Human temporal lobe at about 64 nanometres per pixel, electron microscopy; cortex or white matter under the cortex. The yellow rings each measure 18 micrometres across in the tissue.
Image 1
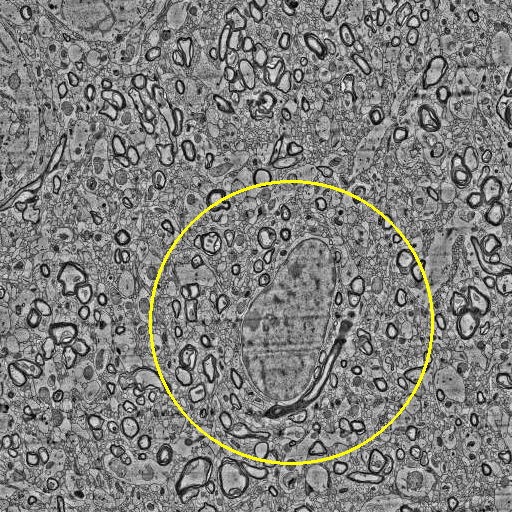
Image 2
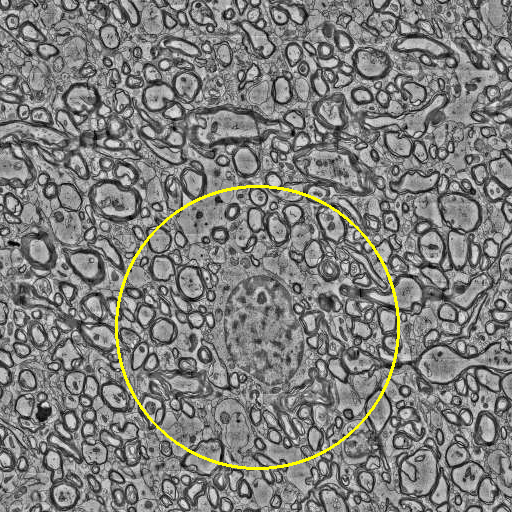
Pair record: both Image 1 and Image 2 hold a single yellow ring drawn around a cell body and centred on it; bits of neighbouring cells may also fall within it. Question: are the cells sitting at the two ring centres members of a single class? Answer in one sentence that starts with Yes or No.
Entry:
No, the ring-centre cells in Image 1 and Image 2 come from two classes.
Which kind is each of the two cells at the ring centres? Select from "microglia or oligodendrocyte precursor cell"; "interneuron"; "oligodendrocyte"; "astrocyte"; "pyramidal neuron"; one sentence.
The cell at the centre of the ring is a microglial cell or oligodendrocyte precursor cell in the first picture and an oligodendrocyte in the second.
